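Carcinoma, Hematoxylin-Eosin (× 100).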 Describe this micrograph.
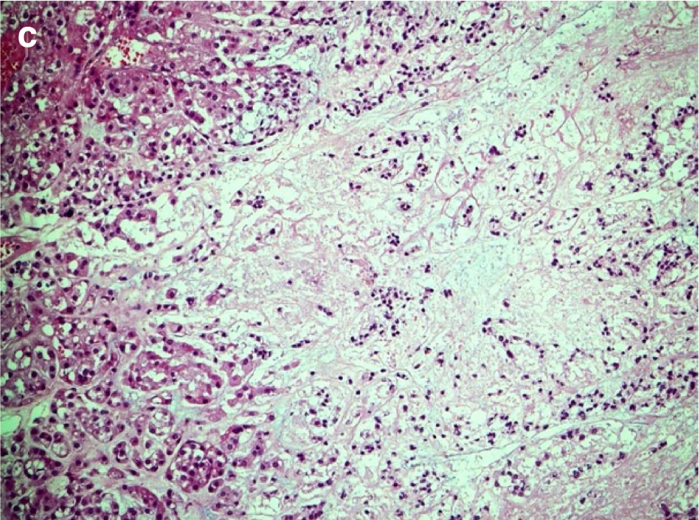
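This is tumour tissue in which viable tumour cells at the left, arranged in nests and cords, border a broad pale area of necrosis. The surviving cells have pink to partly clear cytoplasm and round dark nuclei, with some red blood at the upper left corner. Toward the centre and right the tissue loses its cell outlines and becomes a pale, loose, faintly pink meshwork in which only scattered shrunken dark nuclear fragments remain.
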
